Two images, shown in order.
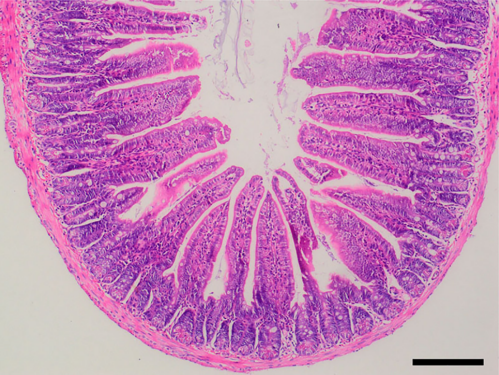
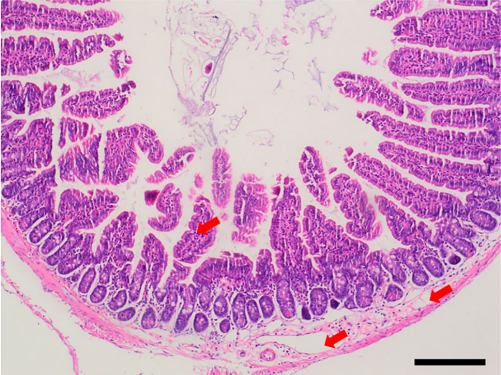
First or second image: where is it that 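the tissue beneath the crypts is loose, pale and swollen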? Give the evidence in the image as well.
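First image: the crypts sit directly on a compact pink muscular wall with no loose gap. Second image: a widened, pale, loosely textured layer separates the crypts from the outer wall.
Conclusion: the second image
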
